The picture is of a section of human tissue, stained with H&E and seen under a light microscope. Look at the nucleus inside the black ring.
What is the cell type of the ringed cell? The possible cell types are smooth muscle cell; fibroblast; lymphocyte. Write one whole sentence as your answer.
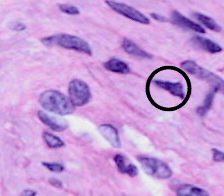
In the stained section, the ringed cell is a fibroblast.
